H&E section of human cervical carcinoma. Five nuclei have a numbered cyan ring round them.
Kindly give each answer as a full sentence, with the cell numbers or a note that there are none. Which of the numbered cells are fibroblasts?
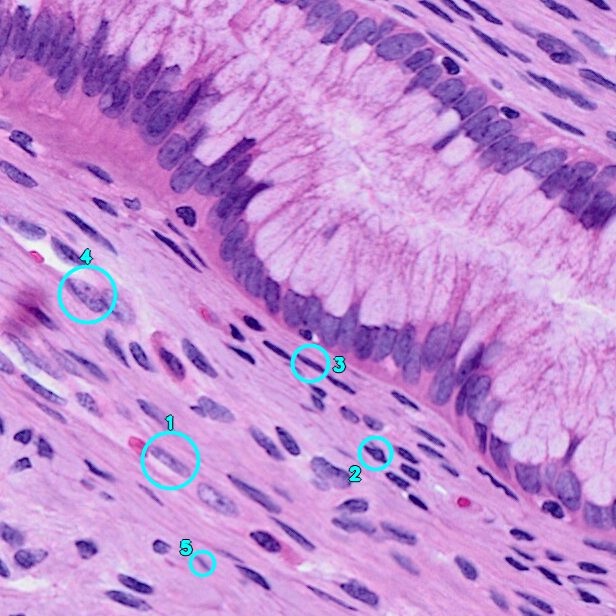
The cells with labels 2, 3 and 5 are fibroblasts.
